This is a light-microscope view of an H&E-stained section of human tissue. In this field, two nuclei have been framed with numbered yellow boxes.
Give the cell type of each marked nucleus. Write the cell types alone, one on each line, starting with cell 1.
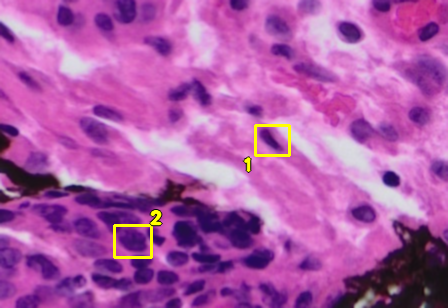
fibroblast
carcinoma cell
